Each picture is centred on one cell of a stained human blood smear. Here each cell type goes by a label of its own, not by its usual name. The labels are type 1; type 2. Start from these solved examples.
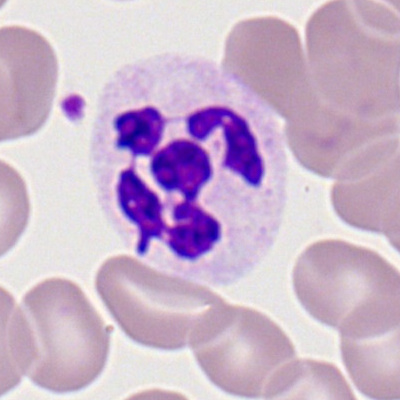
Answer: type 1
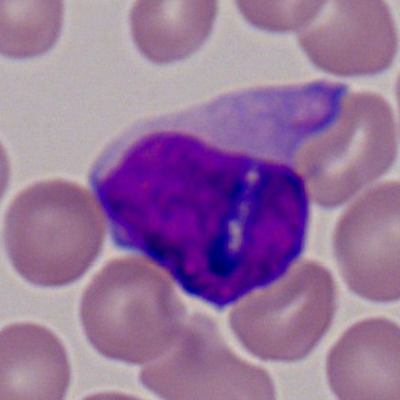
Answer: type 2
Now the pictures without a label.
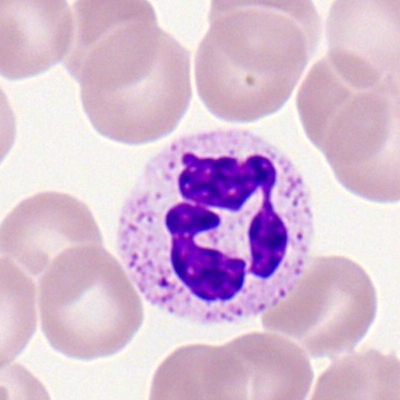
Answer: type 1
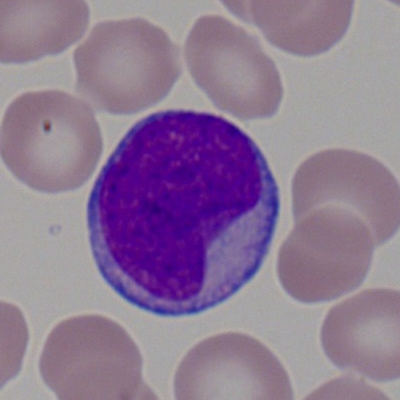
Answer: type 2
